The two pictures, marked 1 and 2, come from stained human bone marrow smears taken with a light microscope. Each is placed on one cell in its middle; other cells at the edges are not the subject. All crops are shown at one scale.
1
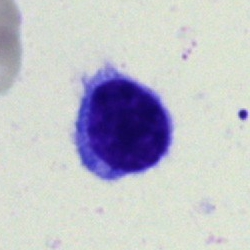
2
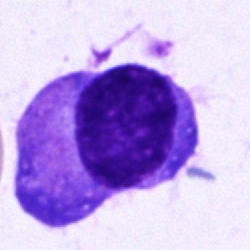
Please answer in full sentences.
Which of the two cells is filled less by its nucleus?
It is the cell in crop 2 that is filled less by its nucleus.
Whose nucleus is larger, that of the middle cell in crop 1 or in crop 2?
Crop 2 shows the larger nucleus; it covers about 1.5 times the area of the nucleus in crop 1.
